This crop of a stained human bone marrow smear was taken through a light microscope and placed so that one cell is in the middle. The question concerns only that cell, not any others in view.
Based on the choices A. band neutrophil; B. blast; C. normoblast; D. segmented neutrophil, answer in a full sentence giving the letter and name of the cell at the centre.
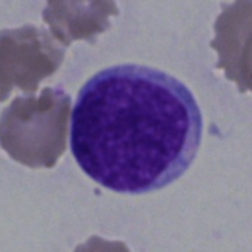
Option B holds up: the cell in the middle is a blast.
